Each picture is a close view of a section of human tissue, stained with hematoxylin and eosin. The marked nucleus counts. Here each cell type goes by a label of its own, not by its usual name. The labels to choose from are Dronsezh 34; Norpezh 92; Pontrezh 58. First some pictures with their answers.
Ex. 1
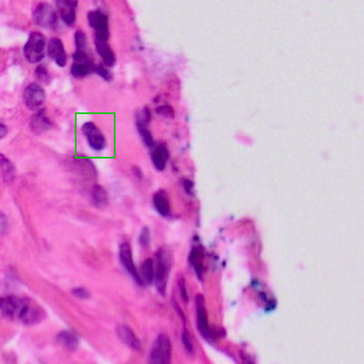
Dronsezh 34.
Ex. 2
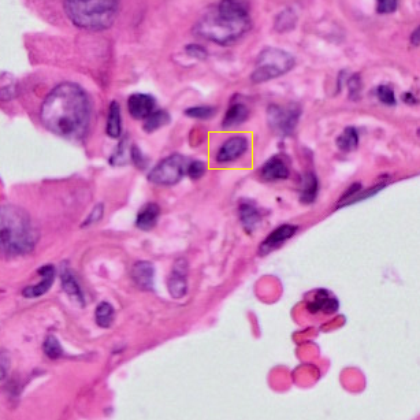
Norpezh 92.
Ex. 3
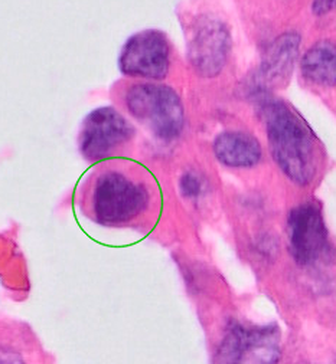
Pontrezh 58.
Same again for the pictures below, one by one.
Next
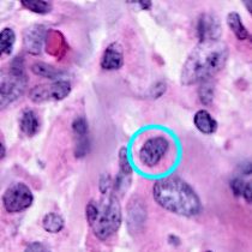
Norpezh 92.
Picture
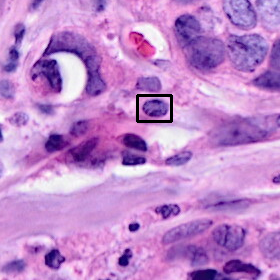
Norpezh 92.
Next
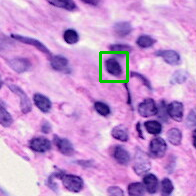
Dronsezh 34.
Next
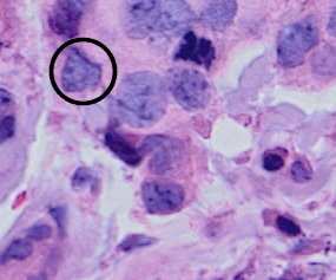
Pontrezh 58.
